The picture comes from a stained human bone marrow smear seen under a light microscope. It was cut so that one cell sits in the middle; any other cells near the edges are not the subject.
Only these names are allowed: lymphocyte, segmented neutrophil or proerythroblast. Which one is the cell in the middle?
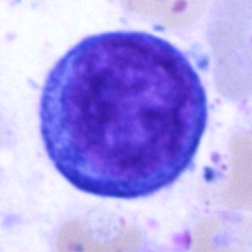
proerythroblast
